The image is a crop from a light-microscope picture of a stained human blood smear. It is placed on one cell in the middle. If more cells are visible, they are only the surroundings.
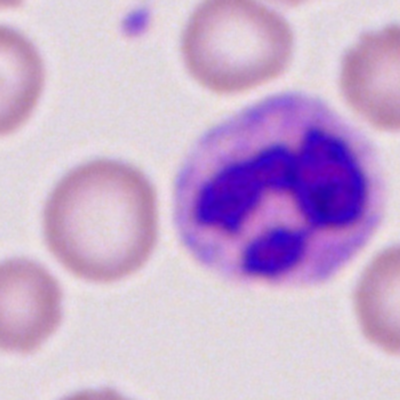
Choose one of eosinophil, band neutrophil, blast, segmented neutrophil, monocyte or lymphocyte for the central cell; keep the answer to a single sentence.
The cell the crop is centered on is a segmented neutrophil.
